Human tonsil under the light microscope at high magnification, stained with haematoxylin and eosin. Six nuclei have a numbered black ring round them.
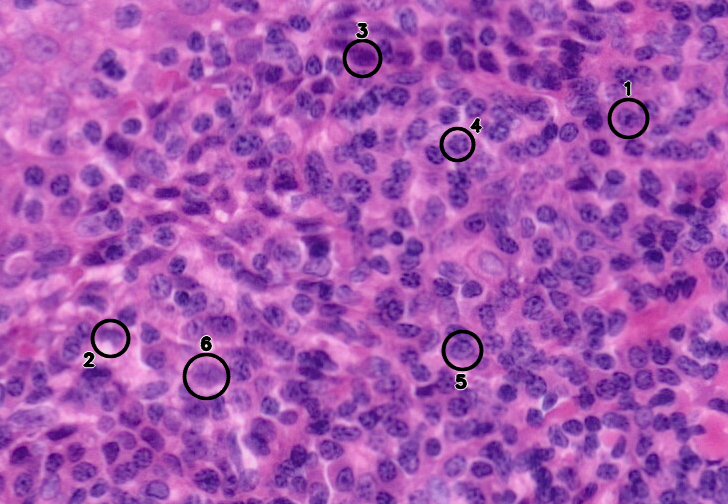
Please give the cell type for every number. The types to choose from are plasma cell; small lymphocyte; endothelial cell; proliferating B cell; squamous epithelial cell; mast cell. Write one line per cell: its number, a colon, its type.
1: plasma cell
2: squamous epithelial cell
3: squamous epithelial cell
4: plasma cell
5: plasma cell
6: squamous epithelial cell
